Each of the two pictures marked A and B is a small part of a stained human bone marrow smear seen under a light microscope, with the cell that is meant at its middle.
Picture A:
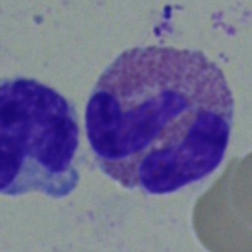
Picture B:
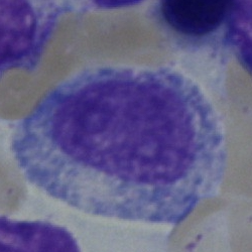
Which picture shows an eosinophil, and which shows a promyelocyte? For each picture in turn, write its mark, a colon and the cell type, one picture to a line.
A: eosinophil
B: promyelocyte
